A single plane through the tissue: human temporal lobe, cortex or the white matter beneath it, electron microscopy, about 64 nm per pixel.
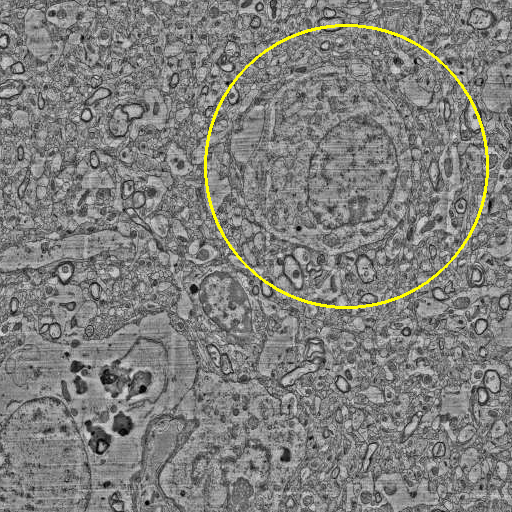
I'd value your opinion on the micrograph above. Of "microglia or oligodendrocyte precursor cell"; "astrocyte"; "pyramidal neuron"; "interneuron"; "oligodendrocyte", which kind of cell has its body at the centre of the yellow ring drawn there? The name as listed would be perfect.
interneuron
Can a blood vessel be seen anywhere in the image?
No, a blood vessel is absent from this picture.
